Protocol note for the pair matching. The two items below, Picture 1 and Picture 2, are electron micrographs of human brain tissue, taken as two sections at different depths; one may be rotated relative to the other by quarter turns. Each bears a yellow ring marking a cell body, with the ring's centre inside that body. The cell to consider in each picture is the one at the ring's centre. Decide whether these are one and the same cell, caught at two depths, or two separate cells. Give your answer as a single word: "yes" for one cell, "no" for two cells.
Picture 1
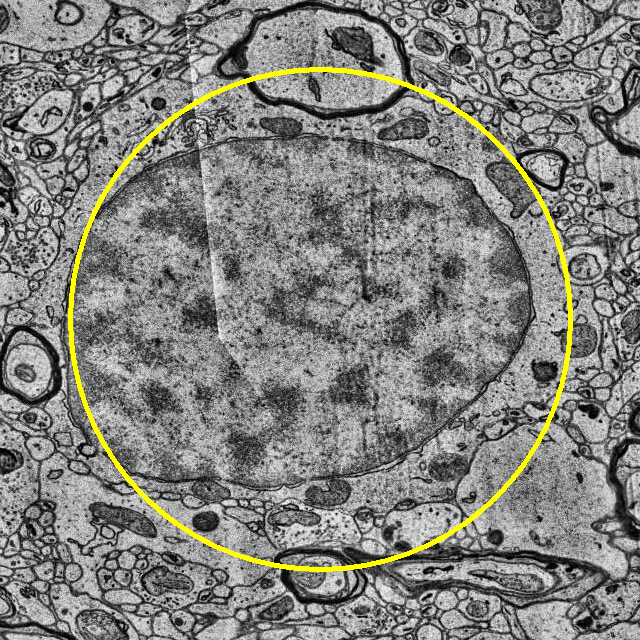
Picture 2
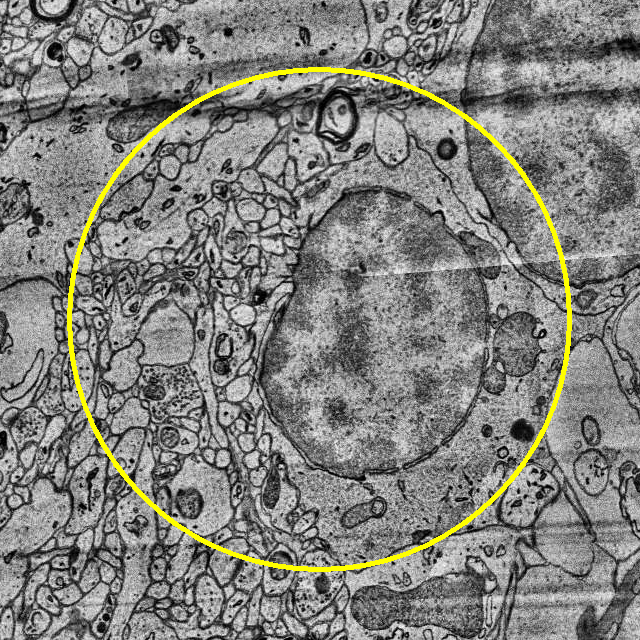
no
